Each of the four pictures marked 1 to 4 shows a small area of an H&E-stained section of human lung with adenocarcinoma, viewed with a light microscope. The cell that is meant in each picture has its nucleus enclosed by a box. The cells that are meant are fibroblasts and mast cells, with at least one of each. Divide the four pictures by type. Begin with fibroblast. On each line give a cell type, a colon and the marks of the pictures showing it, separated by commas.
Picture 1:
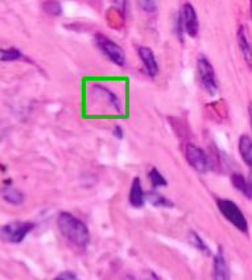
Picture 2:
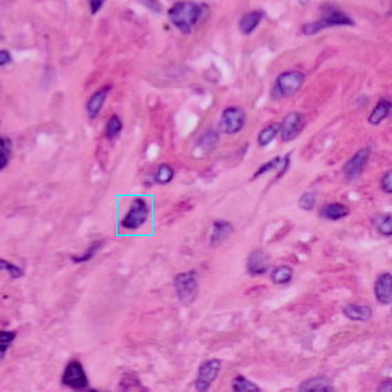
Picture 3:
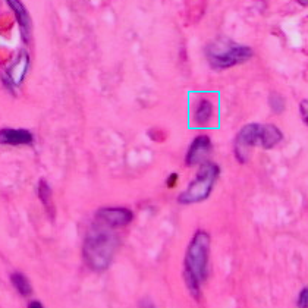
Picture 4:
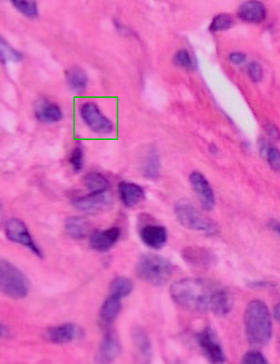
fibroblast: 1
mast cell: 2, 3, 4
